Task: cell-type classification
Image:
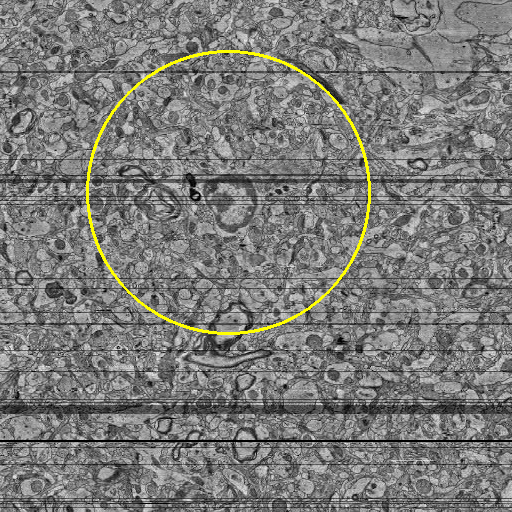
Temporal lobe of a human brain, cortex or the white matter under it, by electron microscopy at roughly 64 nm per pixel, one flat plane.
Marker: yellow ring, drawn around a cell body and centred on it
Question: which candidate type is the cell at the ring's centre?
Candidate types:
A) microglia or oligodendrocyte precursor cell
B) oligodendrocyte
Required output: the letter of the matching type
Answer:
A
